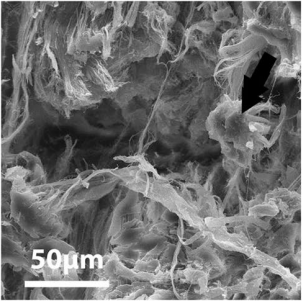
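On the fibres lies a rounded, lumpy body partly wrapped in fine fibrils. Thin strands of fibre cross the open spaces around it.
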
